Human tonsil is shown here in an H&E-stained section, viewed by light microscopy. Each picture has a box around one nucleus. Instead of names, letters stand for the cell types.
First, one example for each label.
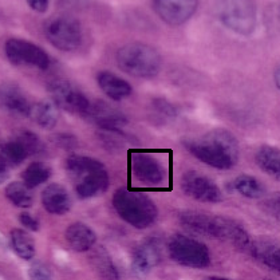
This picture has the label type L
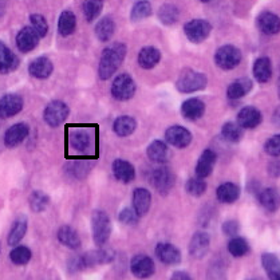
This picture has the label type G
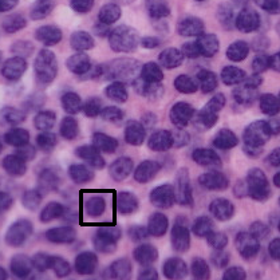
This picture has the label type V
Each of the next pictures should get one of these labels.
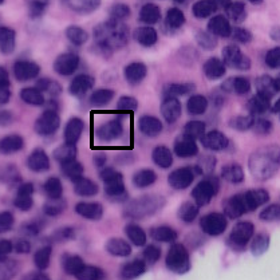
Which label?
type V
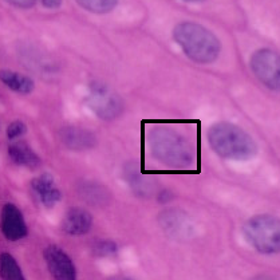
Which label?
type L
